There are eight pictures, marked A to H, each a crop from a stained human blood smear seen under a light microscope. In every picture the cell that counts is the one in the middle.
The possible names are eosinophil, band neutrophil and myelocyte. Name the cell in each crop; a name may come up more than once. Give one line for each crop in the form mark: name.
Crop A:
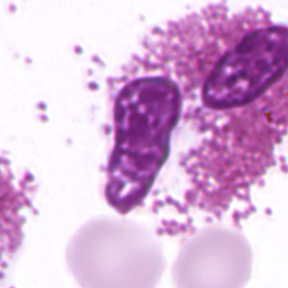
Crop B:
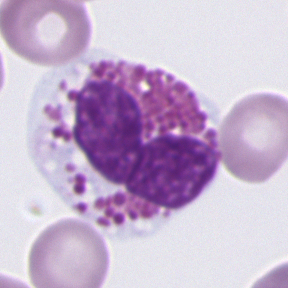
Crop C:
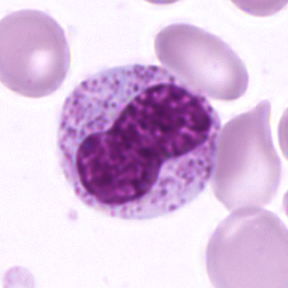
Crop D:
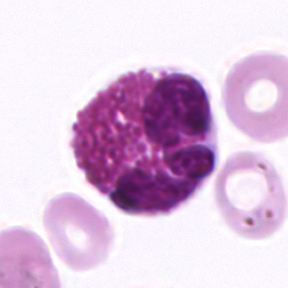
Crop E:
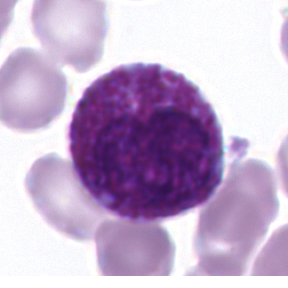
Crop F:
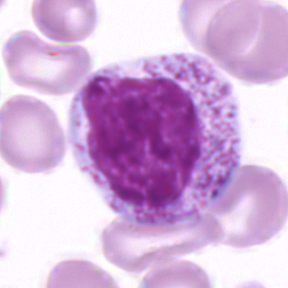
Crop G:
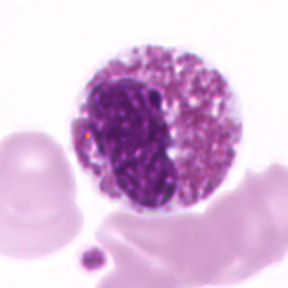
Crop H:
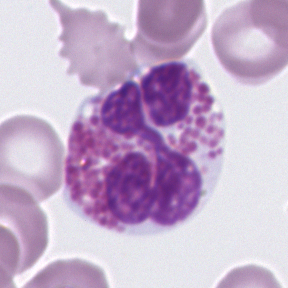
A: eosinophil
B: eosinophil
C: band neutrophil
D: eosinophil
E: eosinophil
F: myelocyte
G: eosinophil
H: eosinophil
